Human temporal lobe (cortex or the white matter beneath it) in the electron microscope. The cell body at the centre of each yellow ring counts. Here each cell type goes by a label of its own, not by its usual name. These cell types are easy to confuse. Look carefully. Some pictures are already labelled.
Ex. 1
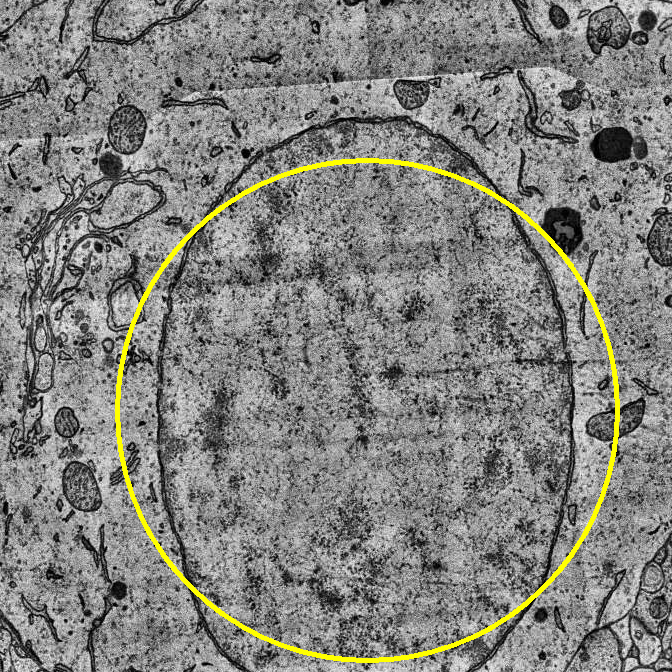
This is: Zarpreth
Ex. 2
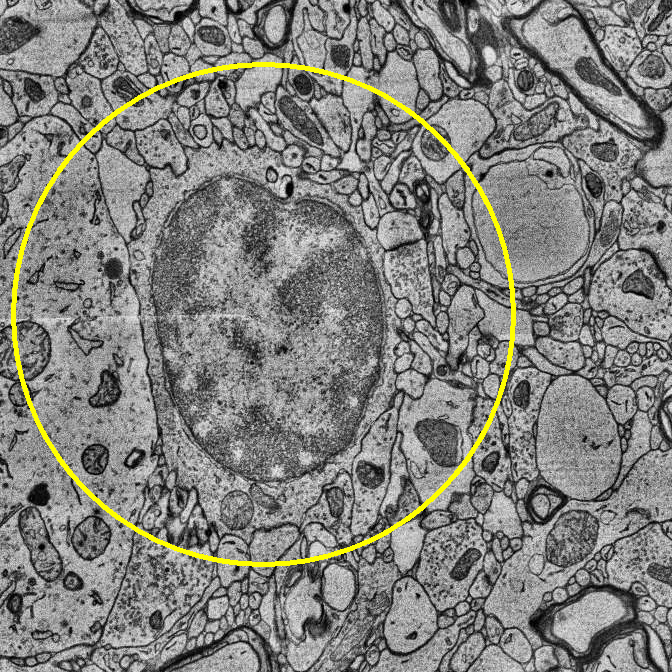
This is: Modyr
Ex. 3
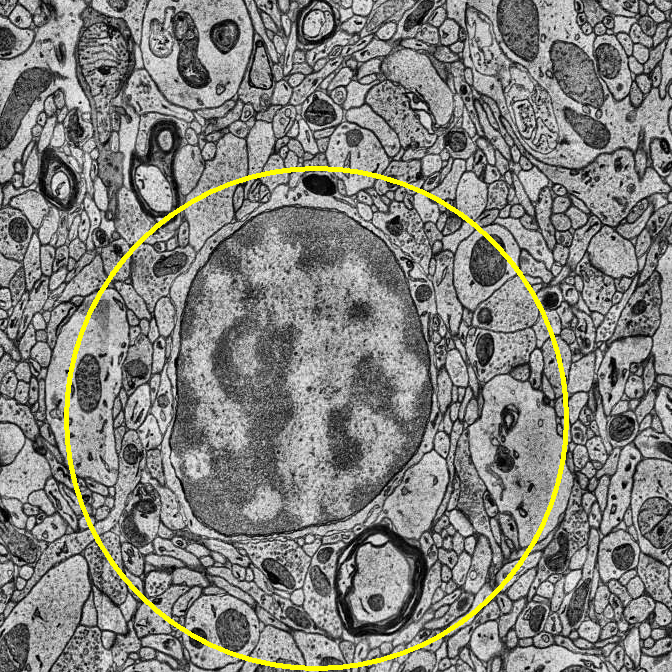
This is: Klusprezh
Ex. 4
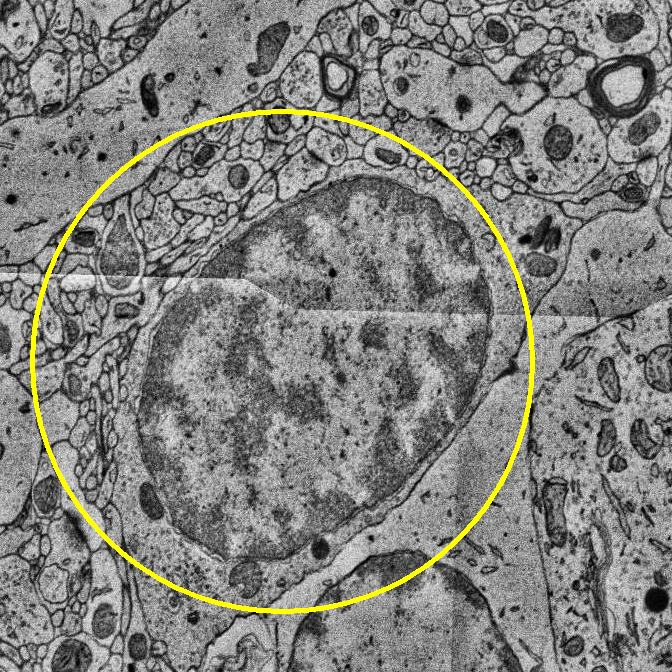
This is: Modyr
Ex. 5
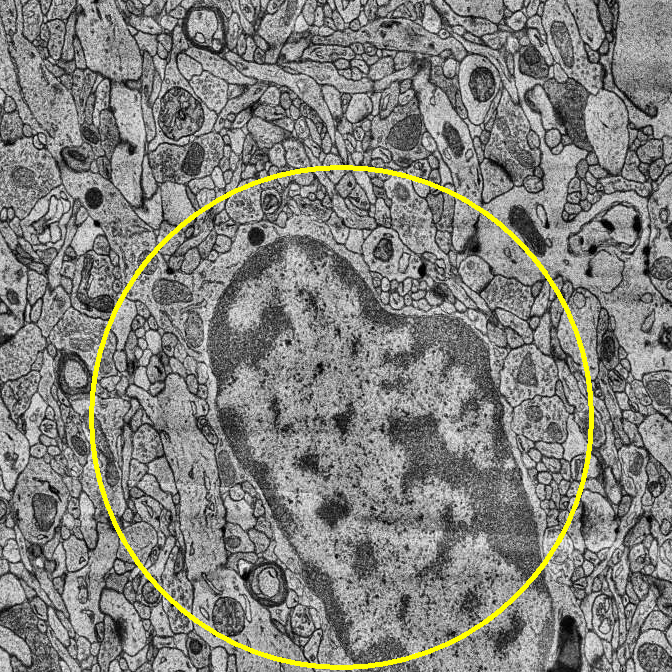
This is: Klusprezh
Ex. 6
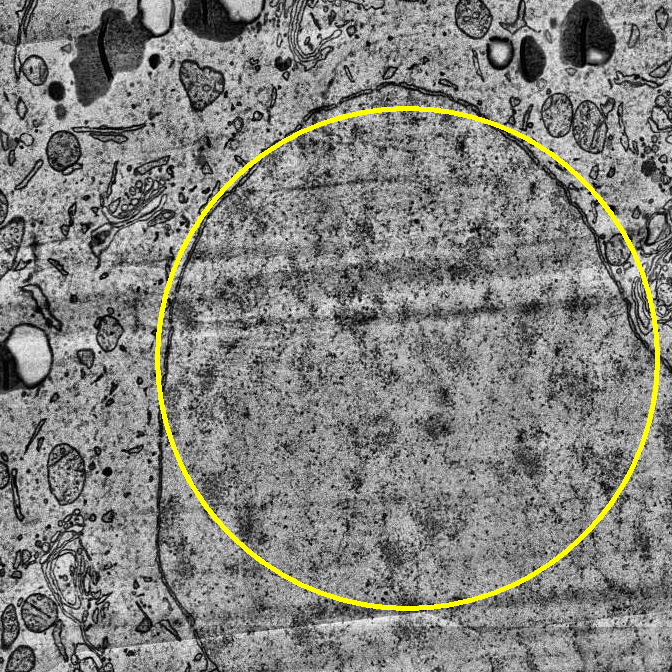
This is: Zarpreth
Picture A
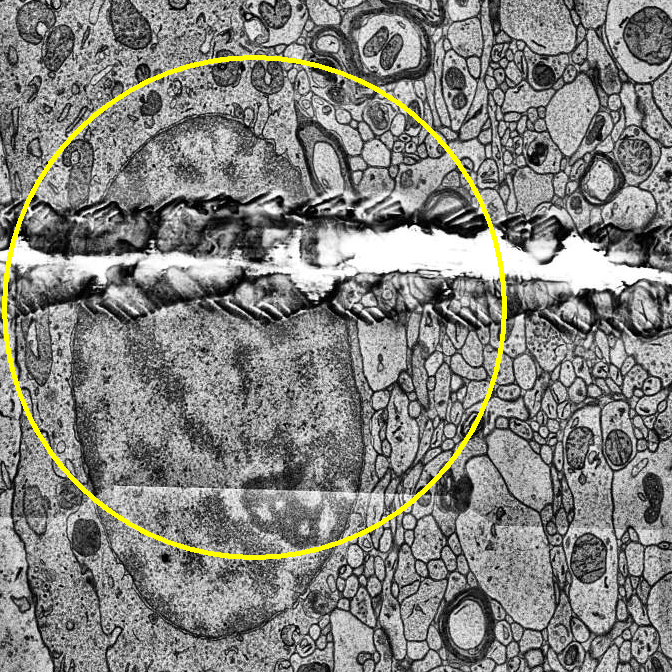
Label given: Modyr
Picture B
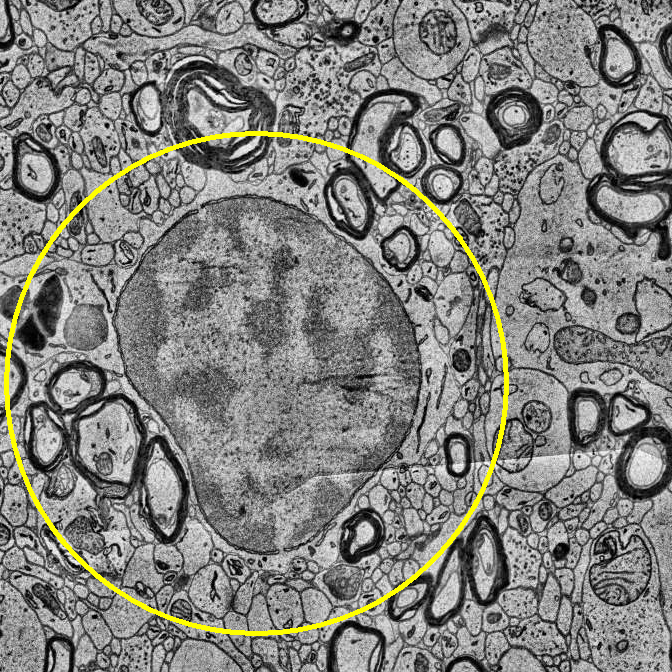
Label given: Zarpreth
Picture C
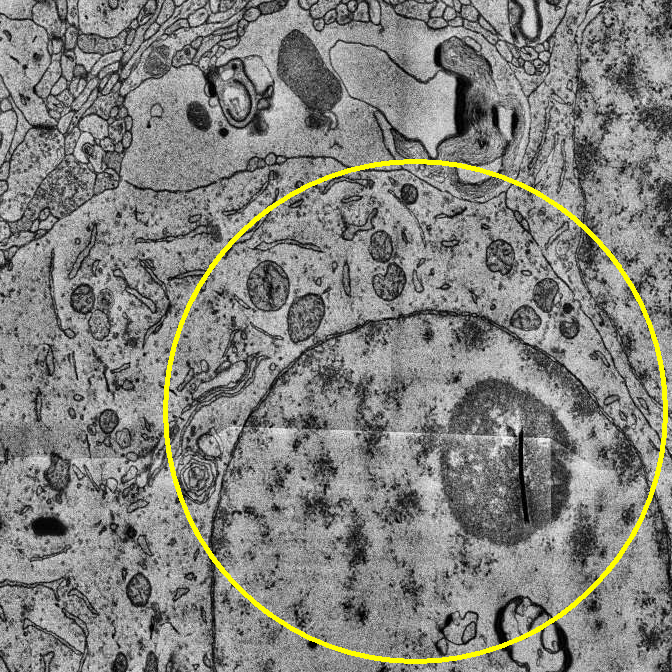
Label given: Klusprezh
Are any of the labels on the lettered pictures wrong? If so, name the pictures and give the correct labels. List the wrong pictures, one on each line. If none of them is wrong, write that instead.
B: change Zarpreth to Klusprezh
C: change Klusprezh to Zarpreth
